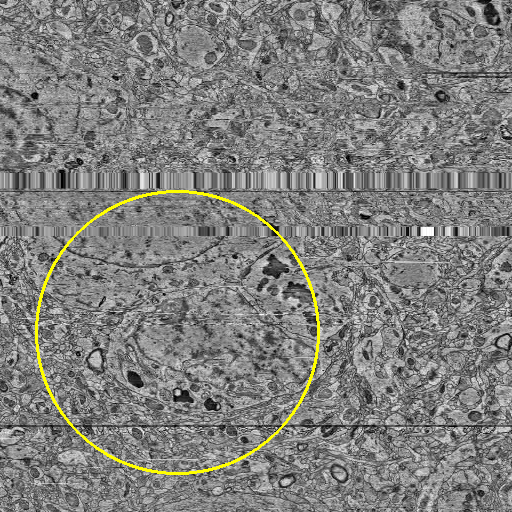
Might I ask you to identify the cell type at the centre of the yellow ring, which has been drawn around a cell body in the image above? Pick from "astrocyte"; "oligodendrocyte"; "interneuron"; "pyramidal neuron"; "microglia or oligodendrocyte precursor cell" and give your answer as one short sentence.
The centre of the ring falls on an interneuron.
